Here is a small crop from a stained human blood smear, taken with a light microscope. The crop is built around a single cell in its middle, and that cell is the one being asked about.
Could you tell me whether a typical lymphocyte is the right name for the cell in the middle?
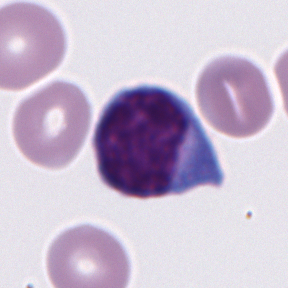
yes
